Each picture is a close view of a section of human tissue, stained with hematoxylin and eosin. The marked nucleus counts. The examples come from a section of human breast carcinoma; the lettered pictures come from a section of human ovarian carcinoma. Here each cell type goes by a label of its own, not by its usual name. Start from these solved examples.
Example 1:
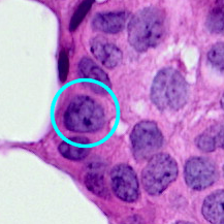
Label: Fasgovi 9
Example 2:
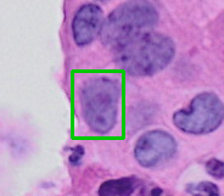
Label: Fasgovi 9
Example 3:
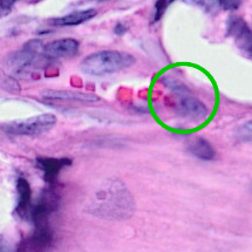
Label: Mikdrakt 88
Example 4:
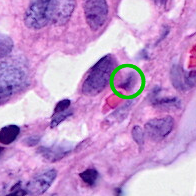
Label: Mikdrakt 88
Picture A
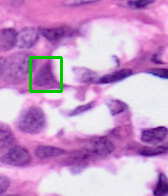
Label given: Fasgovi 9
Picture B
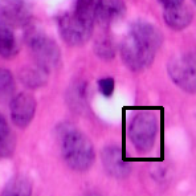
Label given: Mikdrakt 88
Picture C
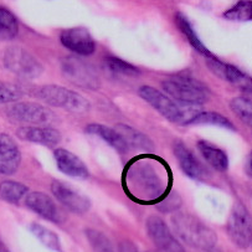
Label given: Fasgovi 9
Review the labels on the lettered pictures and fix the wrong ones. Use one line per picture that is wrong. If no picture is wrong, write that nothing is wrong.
B: not Mikdrakt 88 but Fasgovi 9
